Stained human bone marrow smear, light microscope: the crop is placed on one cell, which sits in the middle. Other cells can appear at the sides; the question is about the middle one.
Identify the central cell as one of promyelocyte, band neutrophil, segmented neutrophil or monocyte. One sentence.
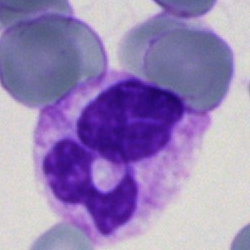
What sits at the centre of this crop is a segmented neutrophil.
